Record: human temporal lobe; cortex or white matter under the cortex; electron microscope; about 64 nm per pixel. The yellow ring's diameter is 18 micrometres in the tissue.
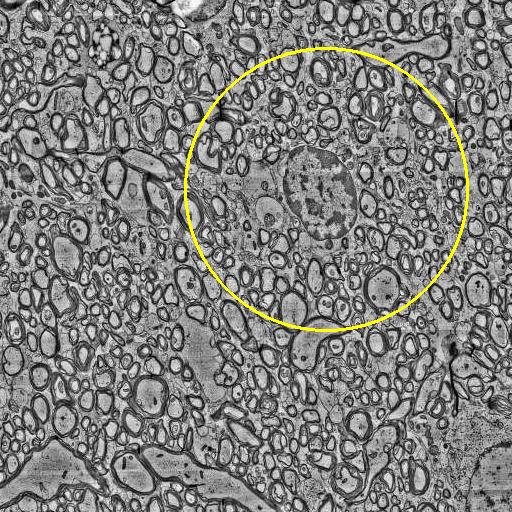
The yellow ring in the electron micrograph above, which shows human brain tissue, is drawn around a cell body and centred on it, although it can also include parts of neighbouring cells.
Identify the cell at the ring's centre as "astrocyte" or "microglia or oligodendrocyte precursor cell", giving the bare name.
microglia or oligodendrocyte precursor cell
